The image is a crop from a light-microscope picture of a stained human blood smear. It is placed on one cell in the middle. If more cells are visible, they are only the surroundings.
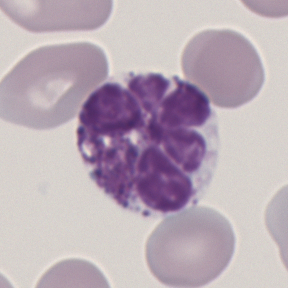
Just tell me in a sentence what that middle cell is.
What sits at the centre of this crop is a basophil.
